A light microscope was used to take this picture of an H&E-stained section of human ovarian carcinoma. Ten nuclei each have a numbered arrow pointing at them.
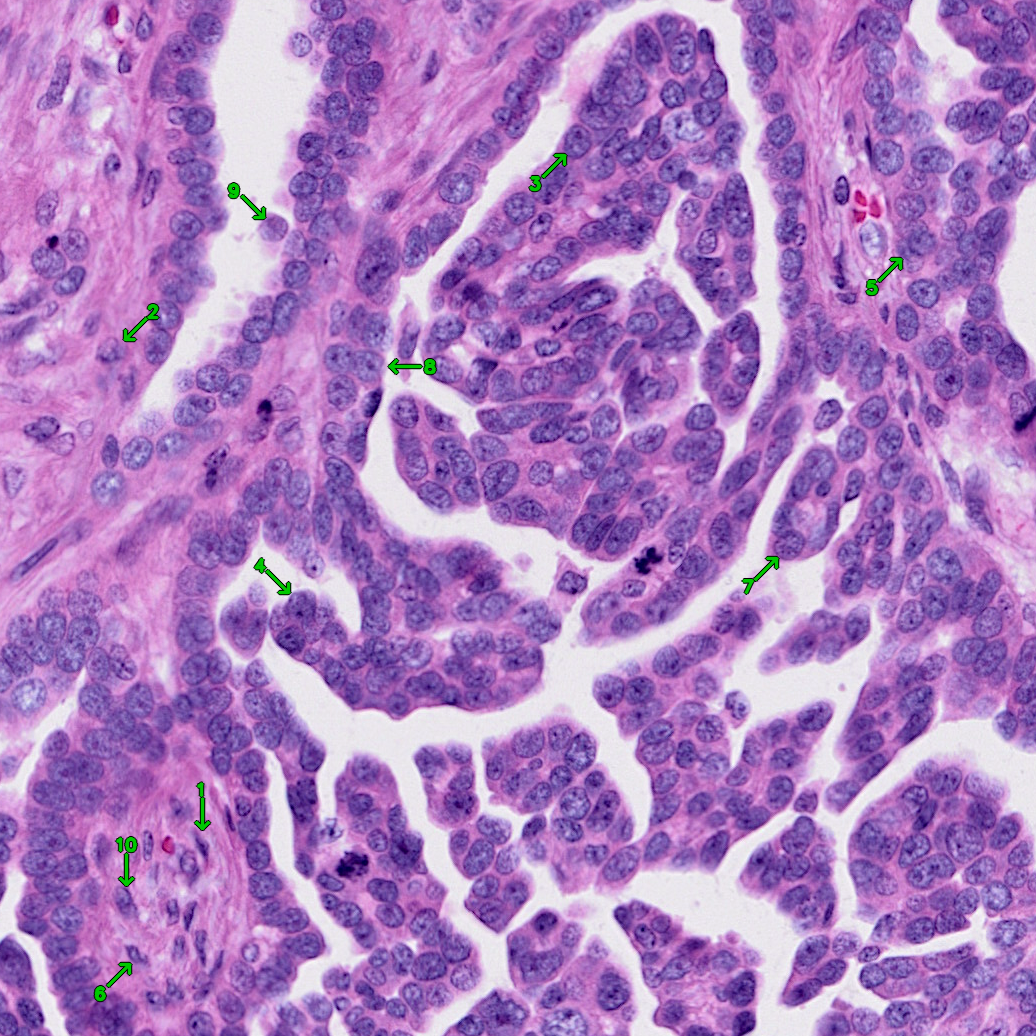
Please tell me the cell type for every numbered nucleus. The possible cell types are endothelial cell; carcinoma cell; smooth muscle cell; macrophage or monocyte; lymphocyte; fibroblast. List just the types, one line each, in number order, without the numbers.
fibroblast
fibroblast
carcinoma cell
carcinoma cell
carcinoma cell
fibroblast
carcinoma cell
carcinoma cell
carcinoma cell
fibroblast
